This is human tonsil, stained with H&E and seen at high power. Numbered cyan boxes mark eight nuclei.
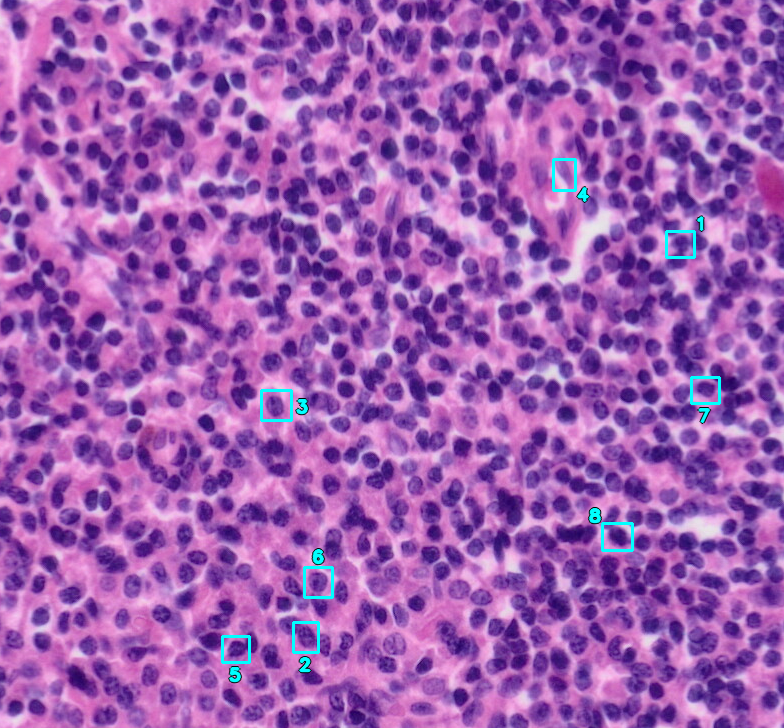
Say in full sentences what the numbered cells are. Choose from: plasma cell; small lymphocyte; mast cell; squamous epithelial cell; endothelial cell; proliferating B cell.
Cells 1, 7 and 8 are small lymphocytes. Cells 2, 3, 5 and 6 are plasma cells. Cell 4 is an endothelial cell.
